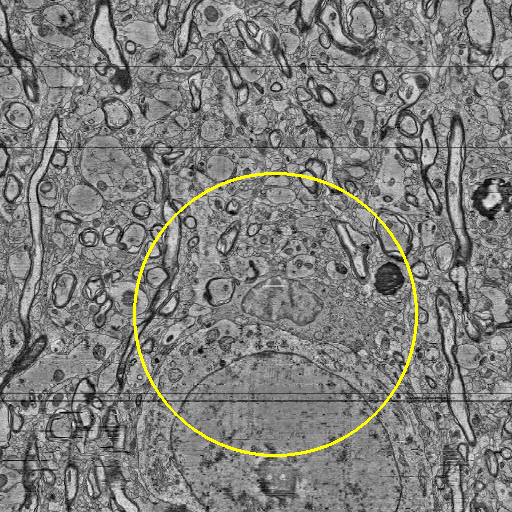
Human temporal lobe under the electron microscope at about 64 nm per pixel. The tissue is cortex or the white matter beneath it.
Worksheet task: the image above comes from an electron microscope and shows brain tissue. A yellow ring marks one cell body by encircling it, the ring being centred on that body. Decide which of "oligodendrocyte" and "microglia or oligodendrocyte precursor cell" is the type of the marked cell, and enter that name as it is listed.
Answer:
oligodendrocyte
